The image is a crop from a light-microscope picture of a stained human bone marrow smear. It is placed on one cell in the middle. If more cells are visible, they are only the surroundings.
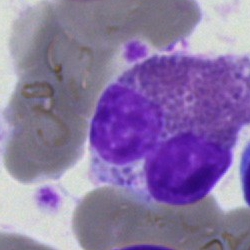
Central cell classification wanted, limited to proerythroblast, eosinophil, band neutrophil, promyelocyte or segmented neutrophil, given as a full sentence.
In the center of this field lies an eosinophil.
